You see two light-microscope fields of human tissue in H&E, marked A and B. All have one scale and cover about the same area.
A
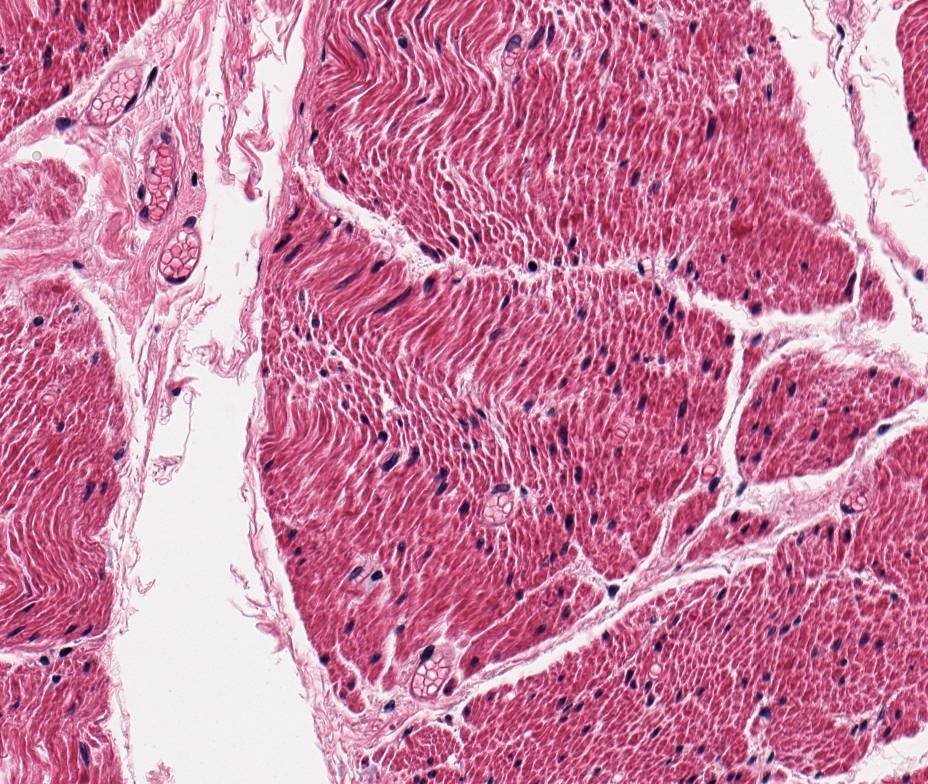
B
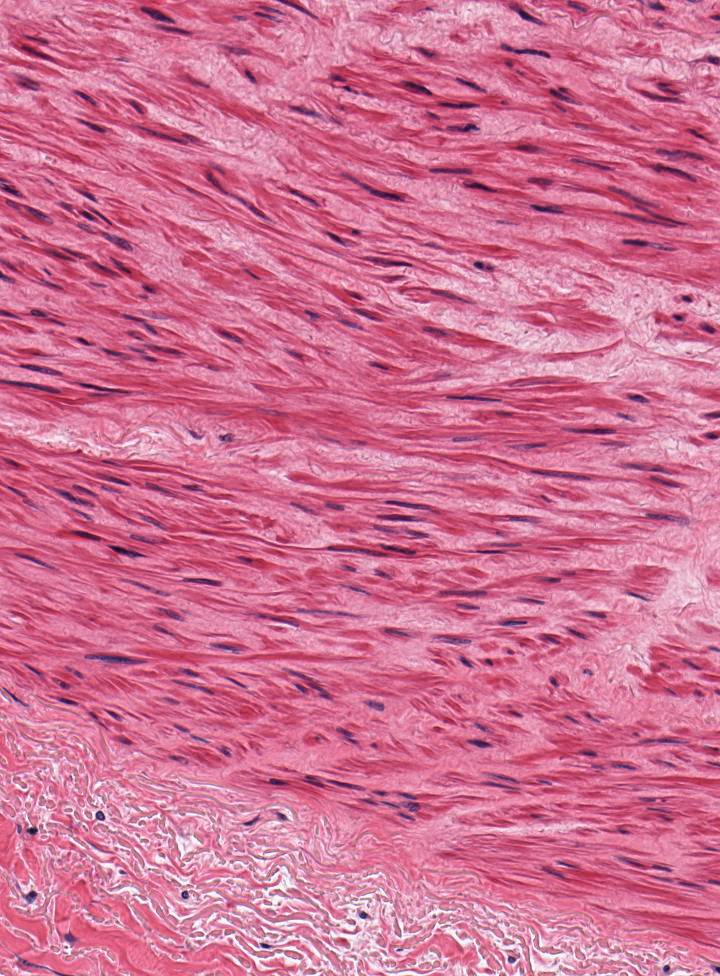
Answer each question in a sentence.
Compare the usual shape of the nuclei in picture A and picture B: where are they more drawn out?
Longer, more slender nuclei lie in picture B.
